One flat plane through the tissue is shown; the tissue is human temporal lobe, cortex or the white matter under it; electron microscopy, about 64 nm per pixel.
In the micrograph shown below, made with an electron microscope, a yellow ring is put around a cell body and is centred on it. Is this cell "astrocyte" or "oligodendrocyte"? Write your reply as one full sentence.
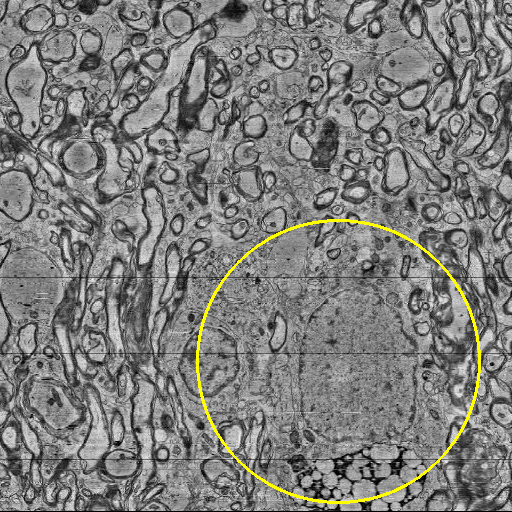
In the micrograph, an astrocyte is the cell at the centre of the yellow ring.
